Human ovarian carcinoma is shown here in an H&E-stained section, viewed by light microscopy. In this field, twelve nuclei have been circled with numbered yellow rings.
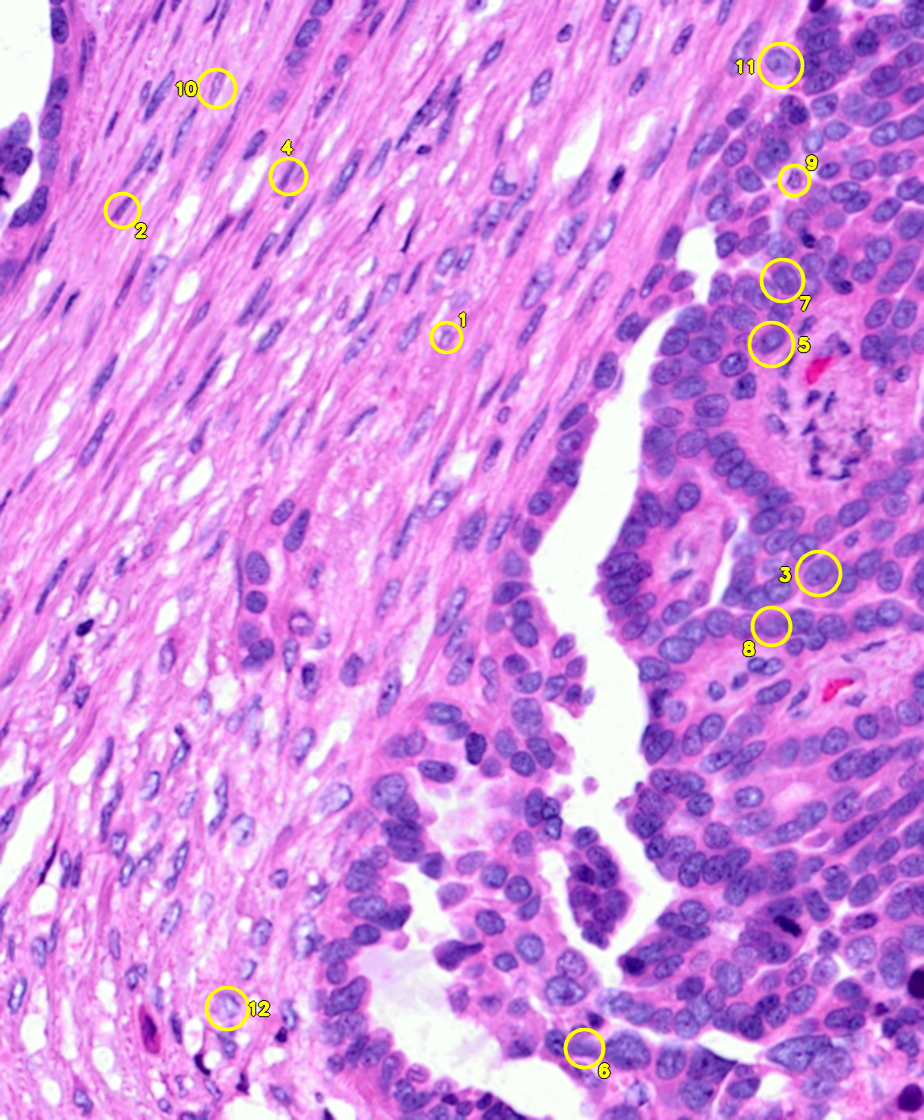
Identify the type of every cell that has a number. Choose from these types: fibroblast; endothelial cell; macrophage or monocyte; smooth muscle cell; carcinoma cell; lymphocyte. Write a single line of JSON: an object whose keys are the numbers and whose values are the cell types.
{"1": "fibroblast", "2": "fibroblast", "3": "carcinoma cell", "4": "fibroblast", "5": "carcinoma cell", "6": "carcinoma cell", "7": "carcinoma cell", "8": "carcinoma cell", "9": "macrophage or monocyte", "10": "fibroblast", "11": "carcinoma cell", "12": "fibroblast"}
